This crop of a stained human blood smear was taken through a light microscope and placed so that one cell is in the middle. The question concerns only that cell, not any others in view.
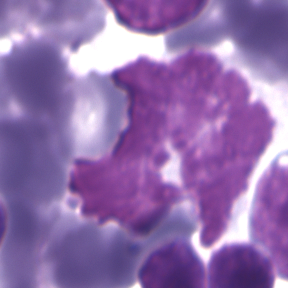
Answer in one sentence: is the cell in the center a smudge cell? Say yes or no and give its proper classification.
Yes, the cell at the centre of this crop is identified as a smudge cell.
